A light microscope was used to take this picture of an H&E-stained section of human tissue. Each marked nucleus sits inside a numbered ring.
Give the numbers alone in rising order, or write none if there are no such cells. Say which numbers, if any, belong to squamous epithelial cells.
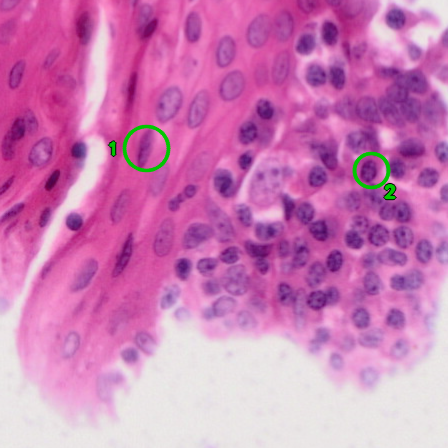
1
